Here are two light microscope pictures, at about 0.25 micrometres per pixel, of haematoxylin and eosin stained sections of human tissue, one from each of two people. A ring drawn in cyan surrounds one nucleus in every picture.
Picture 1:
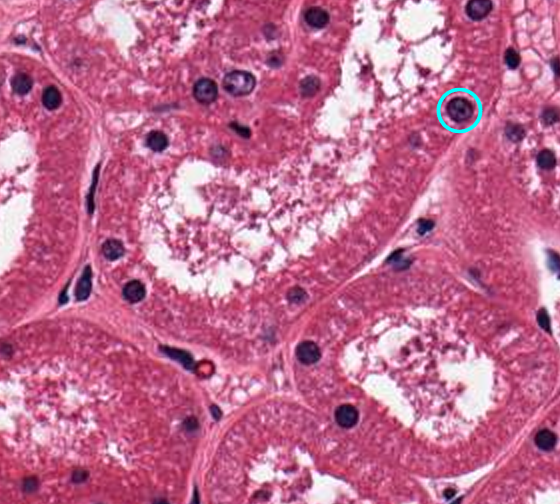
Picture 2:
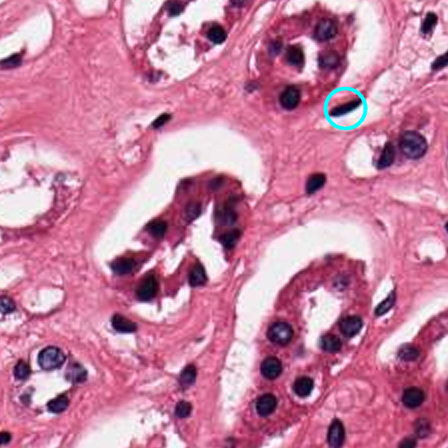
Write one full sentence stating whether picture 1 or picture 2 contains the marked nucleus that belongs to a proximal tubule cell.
The nucleus that is marked in picture 1 belongs to a proximal tubule cell.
